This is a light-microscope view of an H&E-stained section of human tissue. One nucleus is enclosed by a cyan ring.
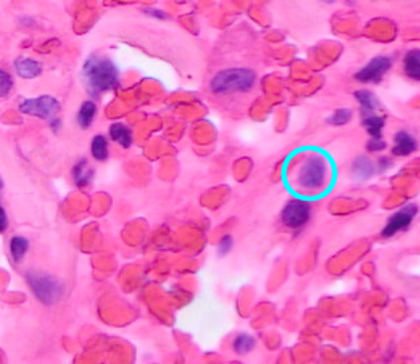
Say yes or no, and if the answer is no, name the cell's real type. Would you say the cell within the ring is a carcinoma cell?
No, it is a type I pneumocyte.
